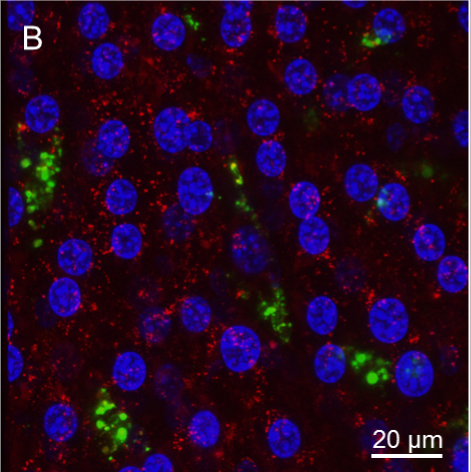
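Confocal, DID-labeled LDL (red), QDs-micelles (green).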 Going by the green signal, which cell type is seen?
Hepatic Kupffer cells.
